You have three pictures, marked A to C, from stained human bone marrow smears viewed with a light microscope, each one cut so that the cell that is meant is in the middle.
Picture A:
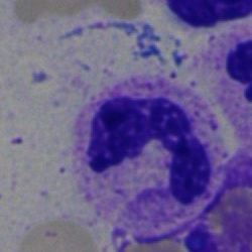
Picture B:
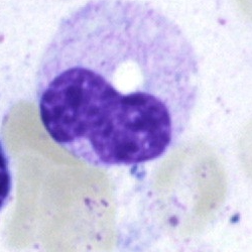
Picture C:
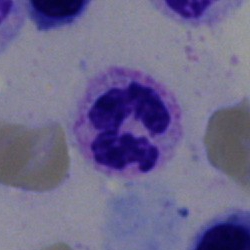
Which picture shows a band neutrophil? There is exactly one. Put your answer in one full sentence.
The cell in picture B is the band neutrophil.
